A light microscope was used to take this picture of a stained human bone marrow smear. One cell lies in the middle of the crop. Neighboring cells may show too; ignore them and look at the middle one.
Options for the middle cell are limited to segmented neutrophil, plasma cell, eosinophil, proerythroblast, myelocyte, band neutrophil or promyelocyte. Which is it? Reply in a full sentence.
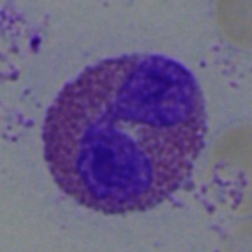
In the middle of this smear crop, the cell is an eosinophil.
